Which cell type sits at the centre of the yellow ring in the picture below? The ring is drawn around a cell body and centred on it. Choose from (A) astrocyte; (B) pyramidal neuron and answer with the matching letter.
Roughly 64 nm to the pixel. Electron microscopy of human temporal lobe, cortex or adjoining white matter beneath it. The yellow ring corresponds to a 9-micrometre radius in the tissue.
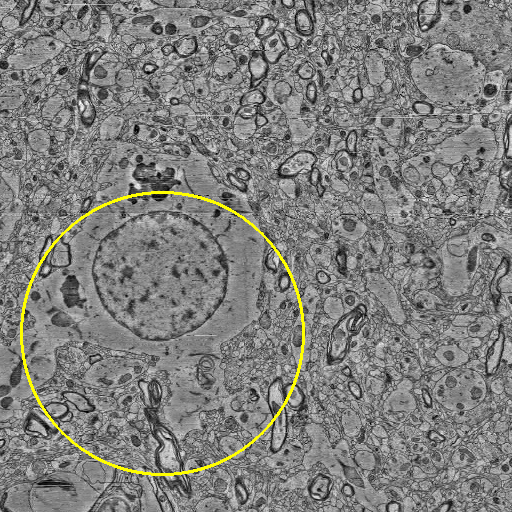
A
